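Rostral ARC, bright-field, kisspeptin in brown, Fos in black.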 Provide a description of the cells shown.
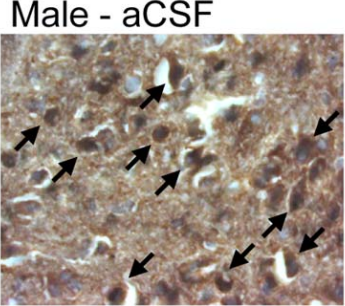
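Brain tissue is seen with many rounded to oval neuron cell bodies scattered through a finely granular brown neuropil. Many of these cell bodies have brown cytoplasm around a dark, nearly black nucleus, while others show paler bluish-grey nuclei. Small clear spaces lie between the cells. These are neurons in which the brown cytoplasmic label and the black nuclear label coincide in many cells.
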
